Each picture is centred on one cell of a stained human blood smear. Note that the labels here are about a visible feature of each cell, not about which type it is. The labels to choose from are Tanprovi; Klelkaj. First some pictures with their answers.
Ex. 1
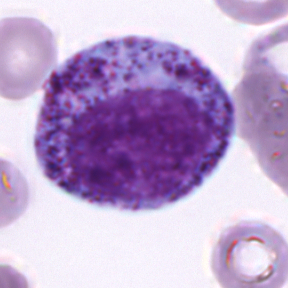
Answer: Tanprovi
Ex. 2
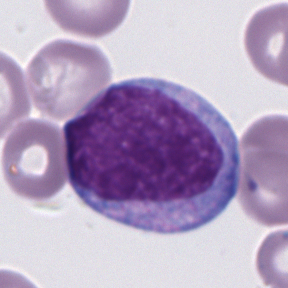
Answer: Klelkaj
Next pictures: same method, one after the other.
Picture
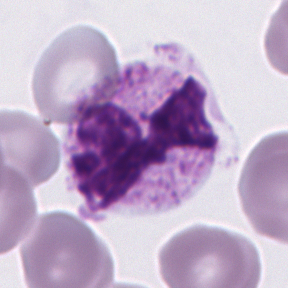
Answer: Tanprovi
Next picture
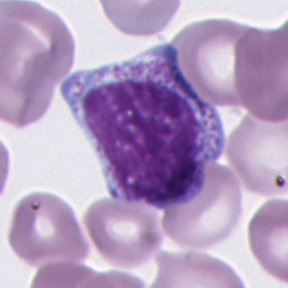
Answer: Klelkaj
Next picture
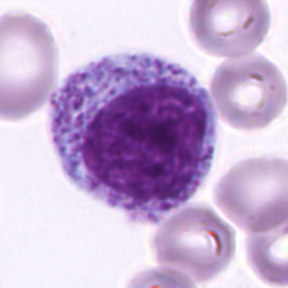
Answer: Tanprovi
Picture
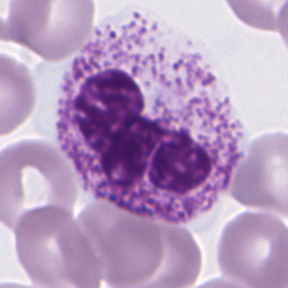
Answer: Tanprovi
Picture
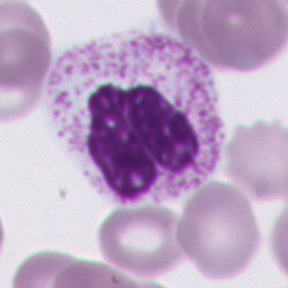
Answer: Tanprovi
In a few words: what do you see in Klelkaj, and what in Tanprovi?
Seen in Klelkaj: fine or small granules; seen in Tanprovi: coarse or large granules.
